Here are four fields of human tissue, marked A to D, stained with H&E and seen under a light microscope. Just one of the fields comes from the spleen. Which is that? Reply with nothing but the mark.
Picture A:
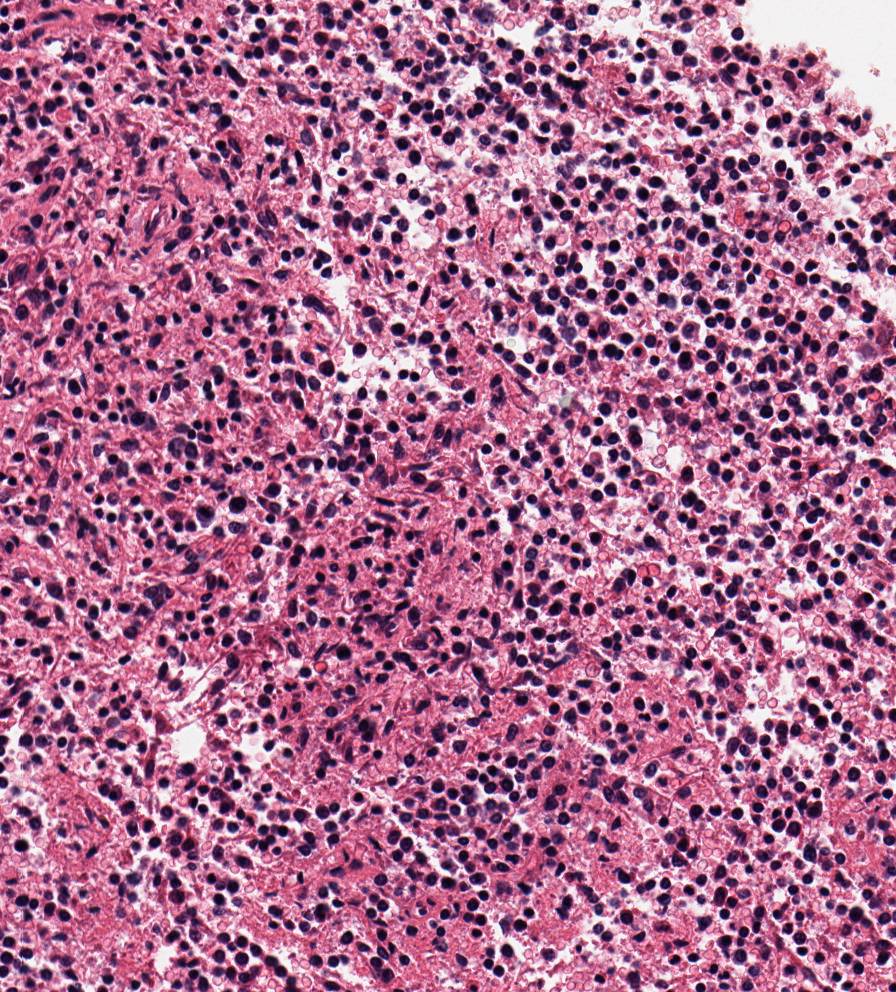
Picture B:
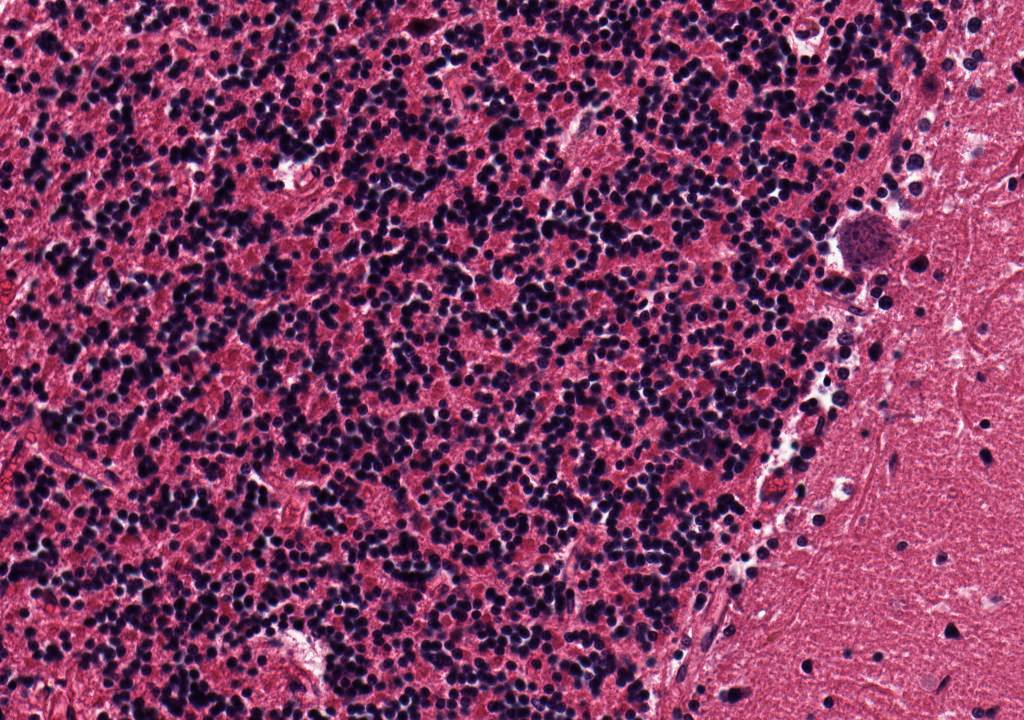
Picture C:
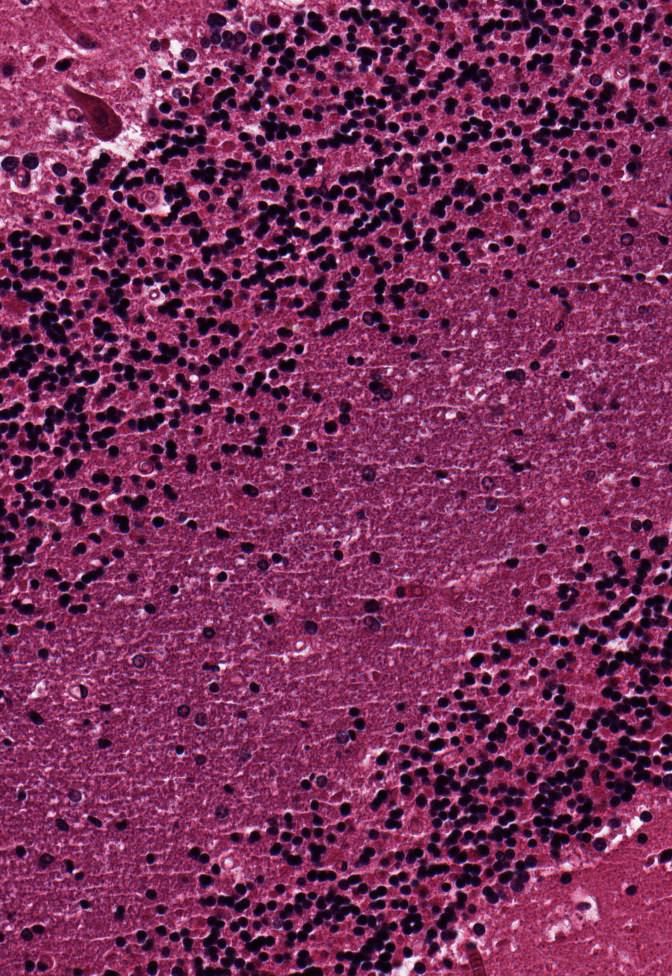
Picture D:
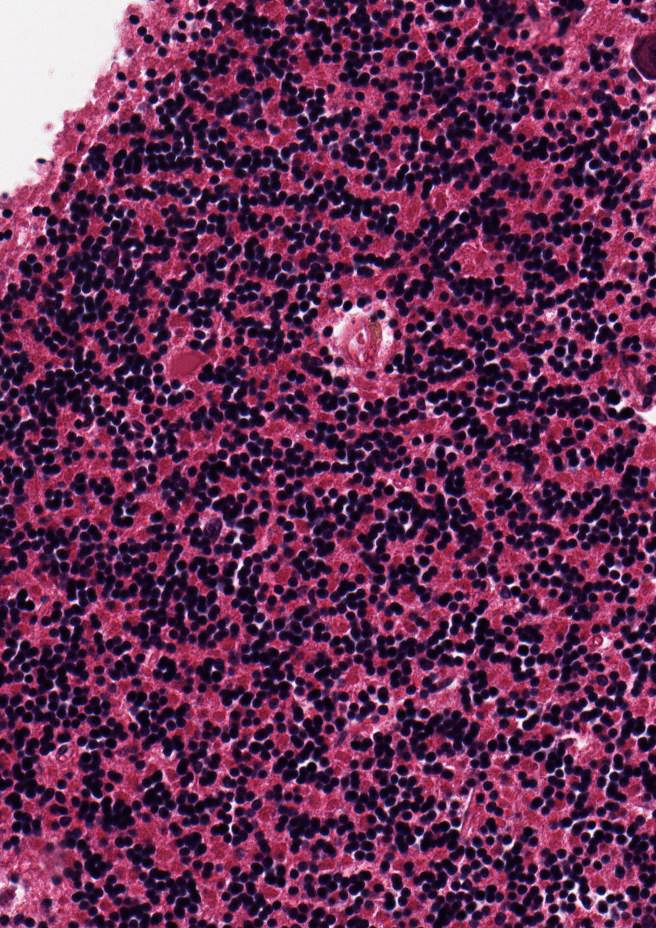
A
